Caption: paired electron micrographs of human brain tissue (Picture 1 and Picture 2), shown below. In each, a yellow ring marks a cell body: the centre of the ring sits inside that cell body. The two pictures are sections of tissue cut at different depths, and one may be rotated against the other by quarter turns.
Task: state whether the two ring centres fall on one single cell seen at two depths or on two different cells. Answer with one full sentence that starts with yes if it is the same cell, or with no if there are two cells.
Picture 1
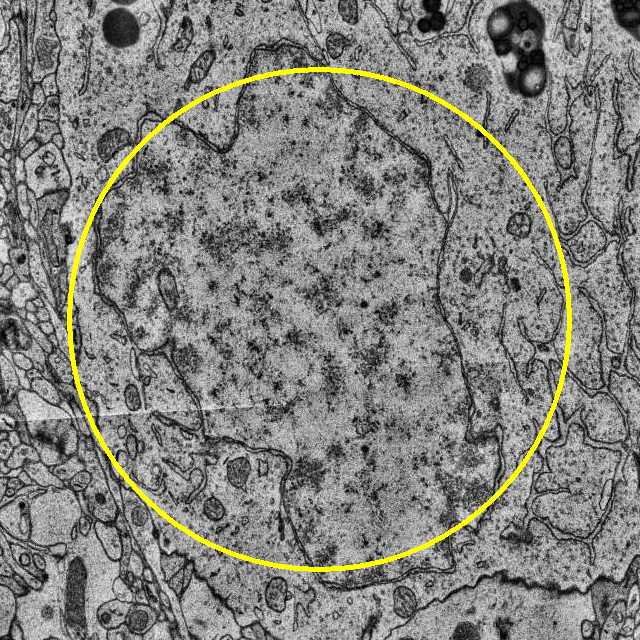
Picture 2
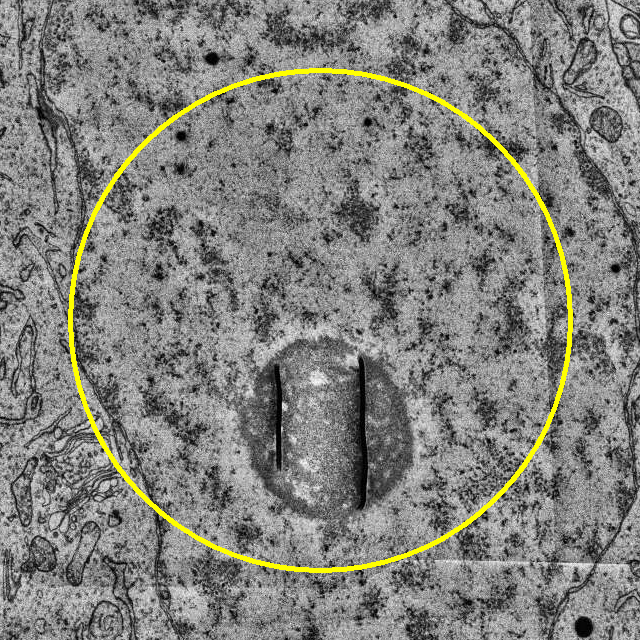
Yes, the marked cell is the same in both rings.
